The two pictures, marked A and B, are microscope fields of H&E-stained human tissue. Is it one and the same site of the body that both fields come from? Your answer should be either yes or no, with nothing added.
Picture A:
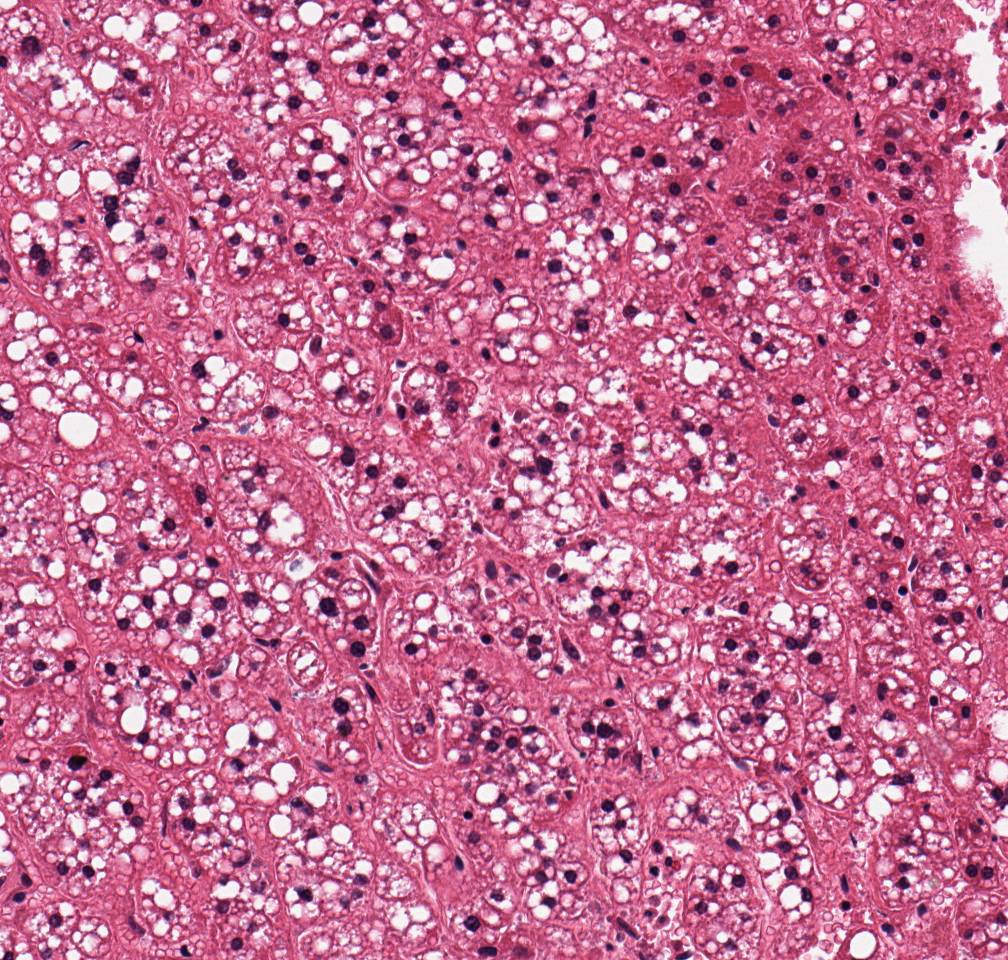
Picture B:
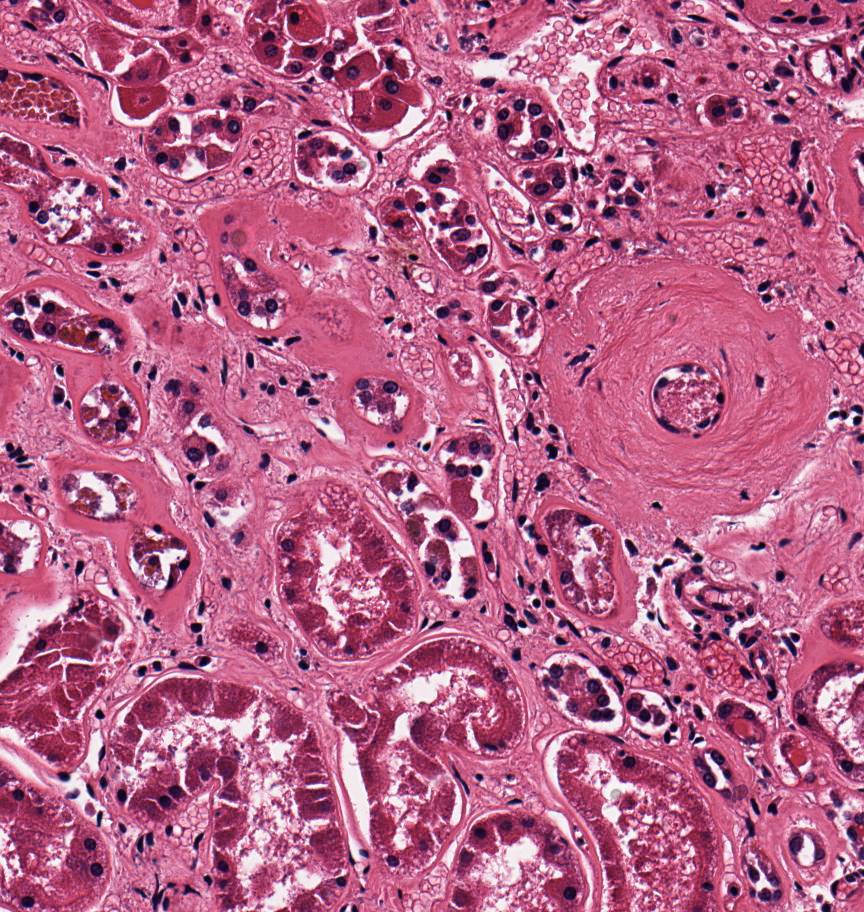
no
